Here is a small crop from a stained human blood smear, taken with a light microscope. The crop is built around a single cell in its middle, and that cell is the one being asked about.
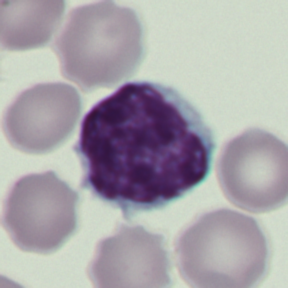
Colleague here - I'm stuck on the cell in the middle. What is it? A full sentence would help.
The central cell, amid any neighbouring cells, is a lymphocyte.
